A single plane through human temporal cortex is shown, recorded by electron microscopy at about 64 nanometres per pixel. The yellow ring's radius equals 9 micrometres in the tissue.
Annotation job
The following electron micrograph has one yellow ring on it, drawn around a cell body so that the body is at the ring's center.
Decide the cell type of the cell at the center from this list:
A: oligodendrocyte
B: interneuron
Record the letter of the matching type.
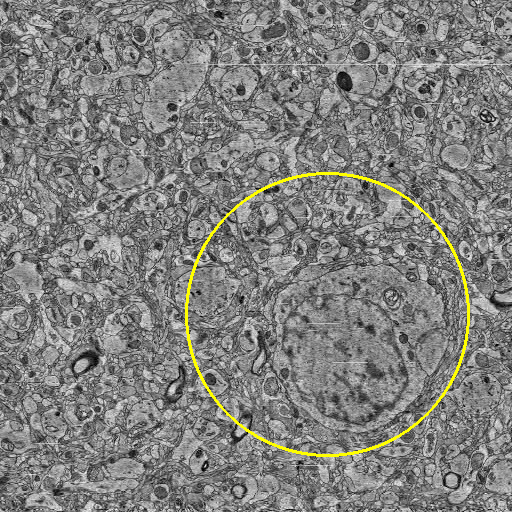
B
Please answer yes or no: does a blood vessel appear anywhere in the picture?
No.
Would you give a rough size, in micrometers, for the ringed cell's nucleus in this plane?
Roughly 9 by 8 micrometres is the size of the nucleus in this plane.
